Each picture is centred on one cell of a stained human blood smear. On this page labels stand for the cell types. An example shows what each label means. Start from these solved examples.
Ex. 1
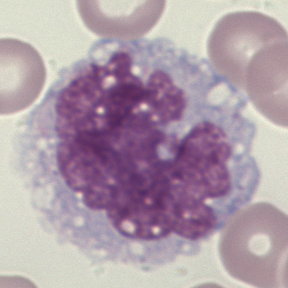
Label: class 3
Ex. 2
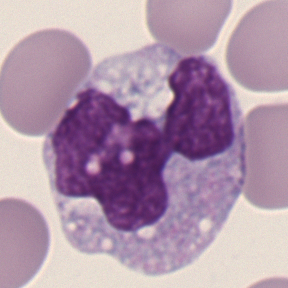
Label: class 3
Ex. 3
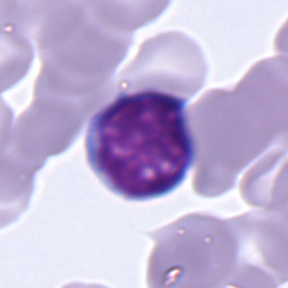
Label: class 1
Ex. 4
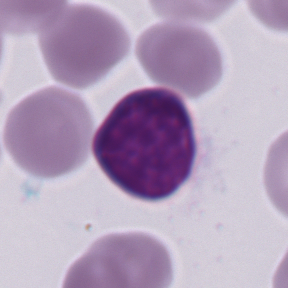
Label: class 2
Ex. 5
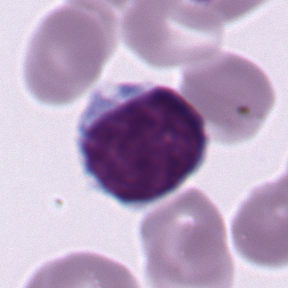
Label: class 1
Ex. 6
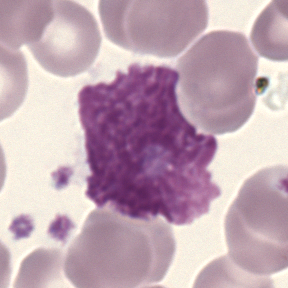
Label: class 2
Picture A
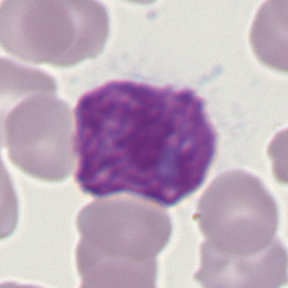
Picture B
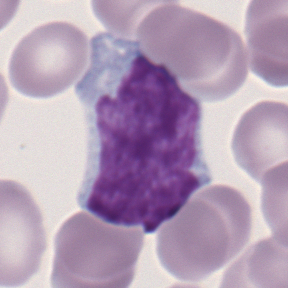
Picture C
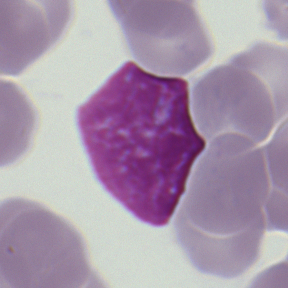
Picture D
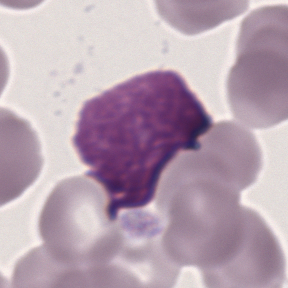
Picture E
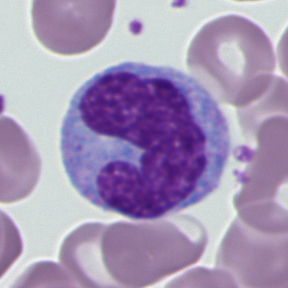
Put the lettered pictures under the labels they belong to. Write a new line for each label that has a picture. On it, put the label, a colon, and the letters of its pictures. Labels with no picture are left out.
class 3: E
class 1: B
class 2: A, C, D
